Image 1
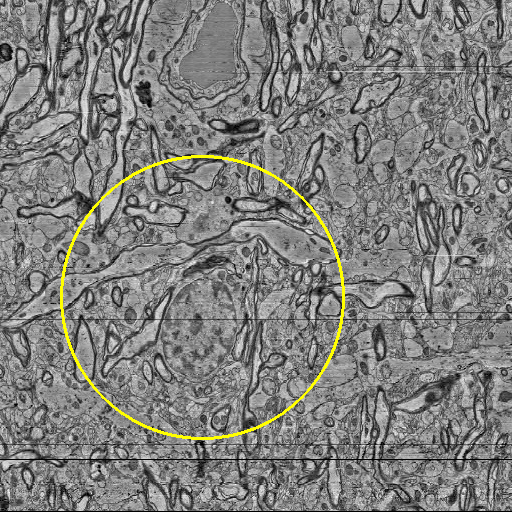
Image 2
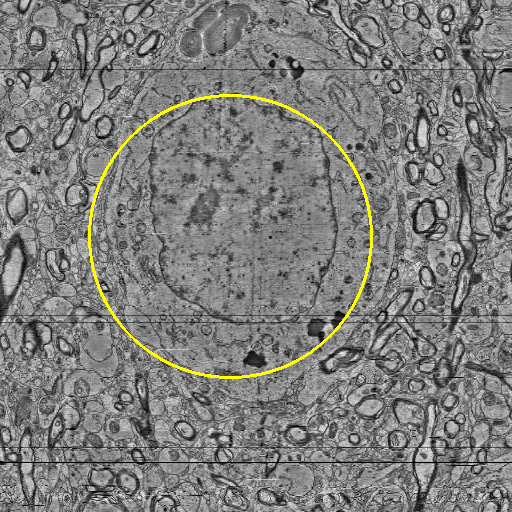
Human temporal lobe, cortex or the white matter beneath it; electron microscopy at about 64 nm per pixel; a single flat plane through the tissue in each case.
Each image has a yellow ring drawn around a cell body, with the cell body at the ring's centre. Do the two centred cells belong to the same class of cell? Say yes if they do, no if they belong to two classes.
no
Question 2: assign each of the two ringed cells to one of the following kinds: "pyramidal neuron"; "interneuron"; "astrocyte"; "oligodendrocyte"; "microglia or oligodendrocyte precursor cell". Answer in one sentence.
The two cells are an oligodendrocyte in the first picture and a pyramidal neuron in the second.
